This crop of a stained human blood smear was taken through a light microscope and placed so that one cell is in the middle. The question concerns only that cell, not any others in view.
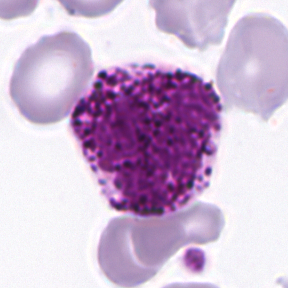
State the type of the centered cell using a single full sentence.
For this crop, the central cell is a basophil.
